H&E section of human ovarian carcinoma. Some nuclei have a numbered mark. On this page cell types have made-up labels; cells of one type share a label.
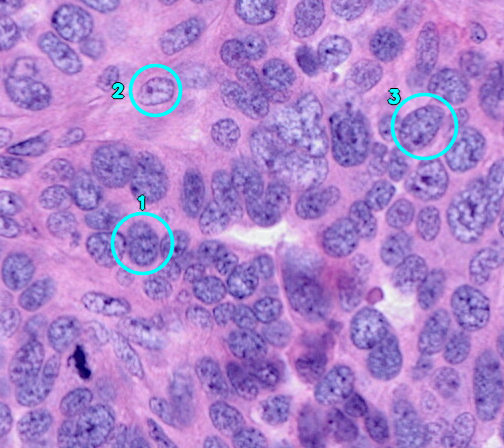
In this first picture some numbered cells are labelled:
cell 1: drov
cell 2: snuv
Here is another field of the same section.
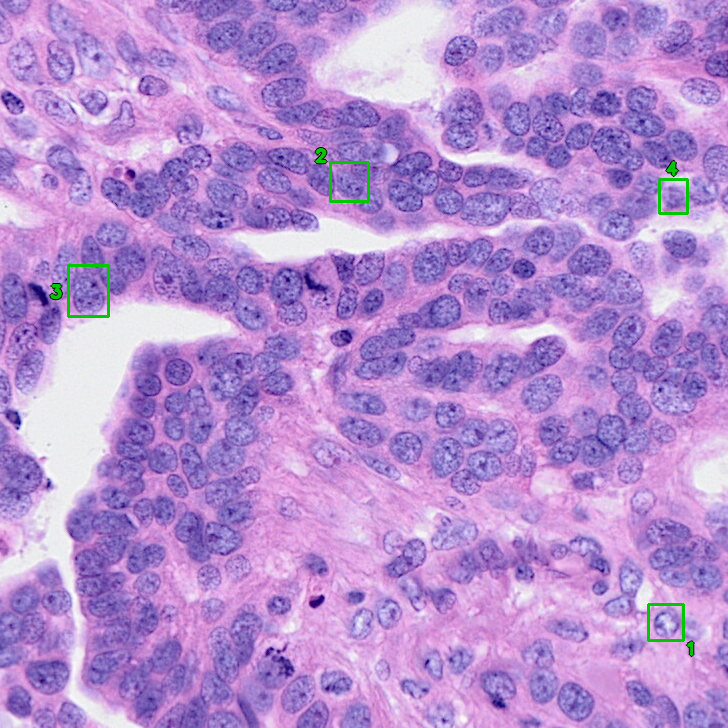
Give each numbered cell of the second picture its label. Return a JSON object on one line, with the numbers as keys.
{"1": "snuv", "2": "drov", "3": "drov", "4": "drov"}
